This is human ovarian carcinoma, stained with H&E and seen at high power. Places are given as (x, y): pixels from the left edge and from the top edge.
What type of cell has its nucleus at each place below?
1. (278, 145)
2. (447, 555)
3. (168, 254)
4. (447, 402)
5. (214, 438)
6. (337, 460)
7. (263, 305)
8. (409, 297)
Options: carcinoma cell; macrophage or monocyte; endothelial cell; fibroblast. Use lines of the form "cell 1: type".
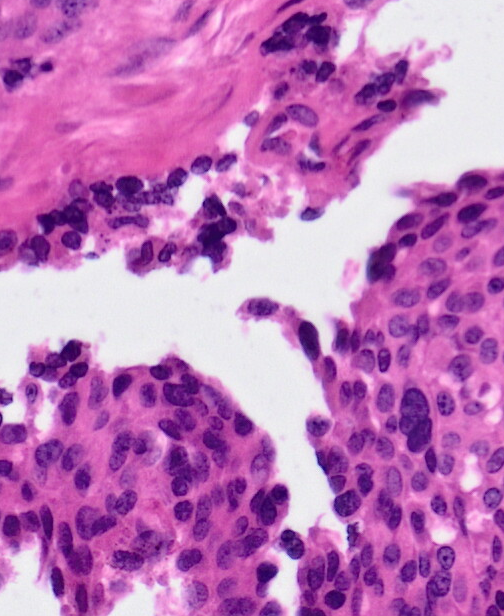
cell 1: endothelial cell
cell 2: macrophage or monocyte
cell 3: macrophage or monocyte
cell 4: macrophage or monocyte
cell 5: carcinoma cell
cell 6: carcinoma cell
cell 7: macrophage or monocyte
cell 8: carcinoma cell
